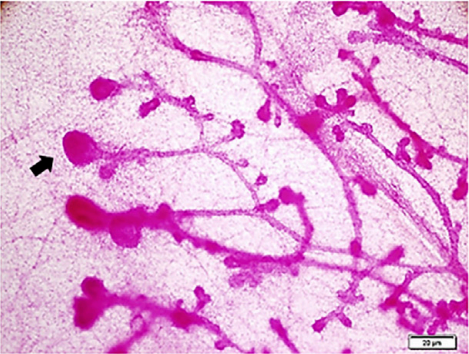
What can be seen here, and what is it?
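This is a stained preparation of the mammary gland at its outer margin, showing a branching tree of ducts ending in terminal end buds. The ducts are thin pink tubes that divide repeatedly and bear many small side buds along their length. At the outer edge several ducts end in large, rounded, club-shaped bulbs that stain a deeper pink than the ducts behind them. Around the ducts lies a pale, faintly fibrous background crossed by fine thread-like strands.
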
